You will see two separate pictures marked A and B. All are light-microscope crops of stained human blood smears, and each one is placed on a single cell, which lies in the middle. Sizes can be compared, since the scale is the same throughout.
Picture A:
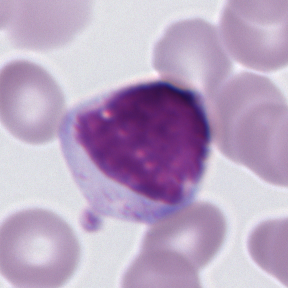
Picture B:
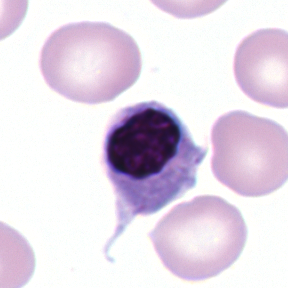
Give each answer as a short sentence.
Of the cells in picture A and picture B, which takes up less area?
It is the cell in picture B; the cell in picture A has about 2 times its area.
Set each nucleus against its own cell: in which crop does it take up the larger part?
It is the cell in picture A that is filled more by its nucleus.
